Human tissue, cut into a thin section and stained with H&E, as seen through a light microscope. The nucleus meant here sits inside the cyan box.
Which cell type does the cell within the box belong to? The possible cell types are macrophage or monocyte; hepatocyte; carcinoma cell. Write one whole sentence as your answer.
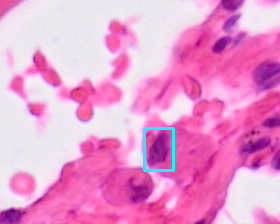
The cell within the box is a macrophage or monocyte.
